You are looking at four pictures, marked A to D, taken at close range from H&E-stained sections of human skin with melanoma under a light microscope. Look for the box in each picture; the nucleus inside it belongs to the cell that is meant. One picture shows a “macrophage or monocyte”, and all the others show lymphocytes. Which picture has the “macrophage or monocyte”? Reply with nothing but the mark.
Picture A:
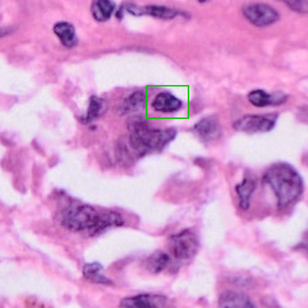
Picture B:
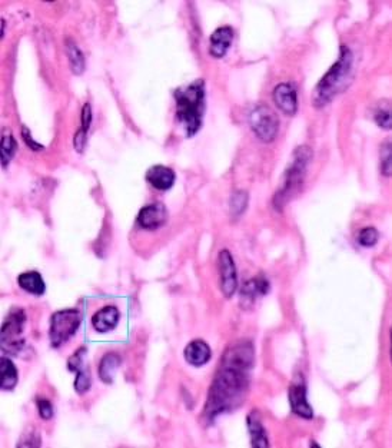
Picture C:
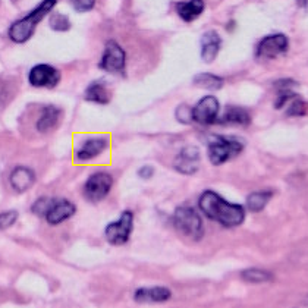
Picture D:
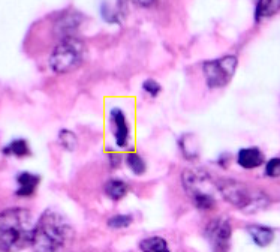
C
